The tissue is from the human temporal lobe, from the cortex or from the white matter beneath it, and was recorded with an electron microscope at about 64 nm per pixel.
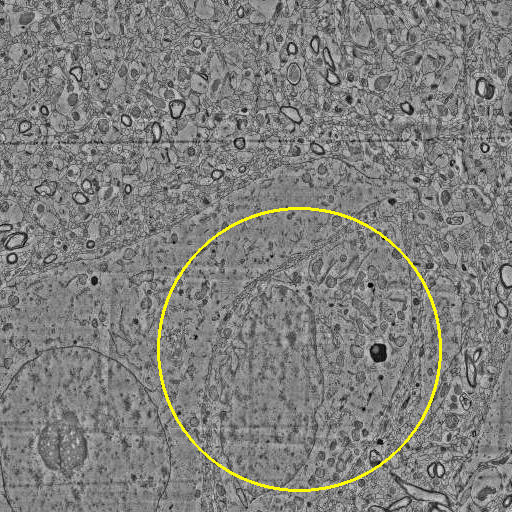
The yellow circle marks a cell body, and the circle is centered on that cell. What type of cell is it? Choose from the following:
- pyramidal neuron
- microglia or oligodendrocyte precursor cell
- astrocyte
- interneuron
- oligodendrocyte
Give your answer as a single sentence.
This cell body belongs to an interneuron.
